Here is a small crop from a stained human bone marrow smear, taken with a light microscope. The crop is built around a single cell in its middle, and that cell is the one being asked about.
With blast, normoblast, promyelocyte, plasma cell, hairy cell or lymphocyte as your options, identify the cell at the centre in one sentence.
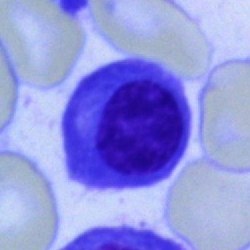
At the crop's centre, the cell is a plasma cell.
